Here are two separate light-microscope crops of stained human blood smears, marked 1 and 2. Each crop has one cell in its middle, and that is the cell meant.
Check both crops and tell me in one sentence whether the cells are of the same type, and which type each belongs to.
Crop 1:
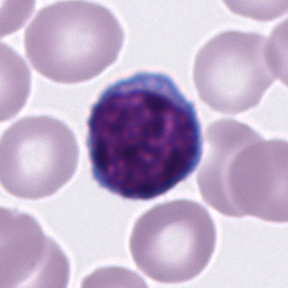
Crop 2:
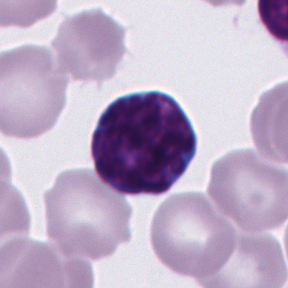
Yes, both crops have lymphocytes as their central cells.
